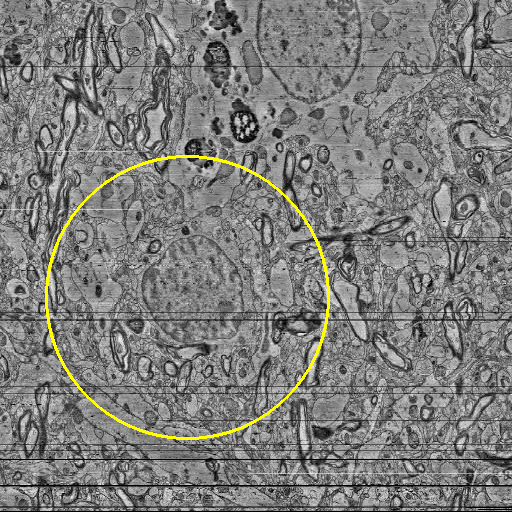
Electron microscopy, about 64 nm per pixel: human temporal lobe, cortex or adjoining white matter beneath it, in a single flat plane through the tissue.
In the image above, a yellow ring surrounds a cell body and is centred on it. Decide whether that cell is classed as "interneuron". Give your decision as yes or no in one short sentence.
No, it belongs to another kind of cell.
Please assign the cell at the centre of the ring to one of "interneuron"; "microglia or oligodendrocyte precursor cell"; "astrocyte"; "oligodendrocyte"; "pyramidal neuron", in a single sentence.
The cell that the ring is centred on is an oligodendrocyte.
